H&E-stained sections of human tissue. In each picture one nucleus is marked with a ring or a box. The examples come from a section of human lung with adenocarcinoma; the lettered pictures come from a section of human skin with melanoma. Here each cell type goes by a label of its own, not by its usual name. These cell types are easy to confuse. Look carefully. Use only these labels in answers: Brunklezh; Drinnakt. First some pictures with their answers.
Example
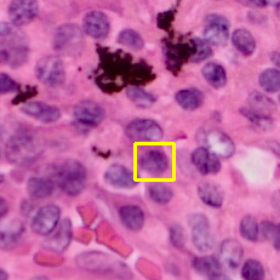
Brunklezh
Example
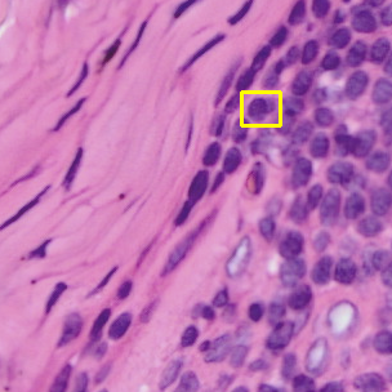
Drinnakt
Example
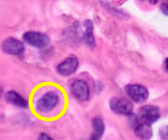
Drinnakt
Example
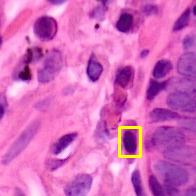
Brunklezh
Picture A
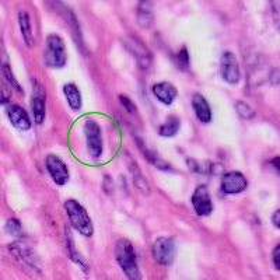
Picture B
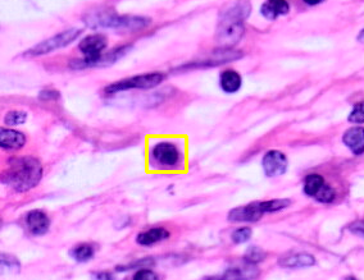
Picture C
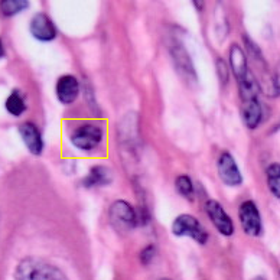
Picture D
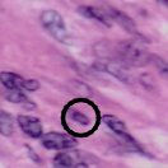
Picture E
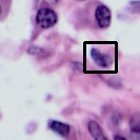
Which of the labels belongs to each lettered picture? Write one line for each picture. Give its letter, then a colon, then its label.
A: Drinnakt
B: Brunklezh
C: Brunklezh
D: Drinnakt
E: Drinnakt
